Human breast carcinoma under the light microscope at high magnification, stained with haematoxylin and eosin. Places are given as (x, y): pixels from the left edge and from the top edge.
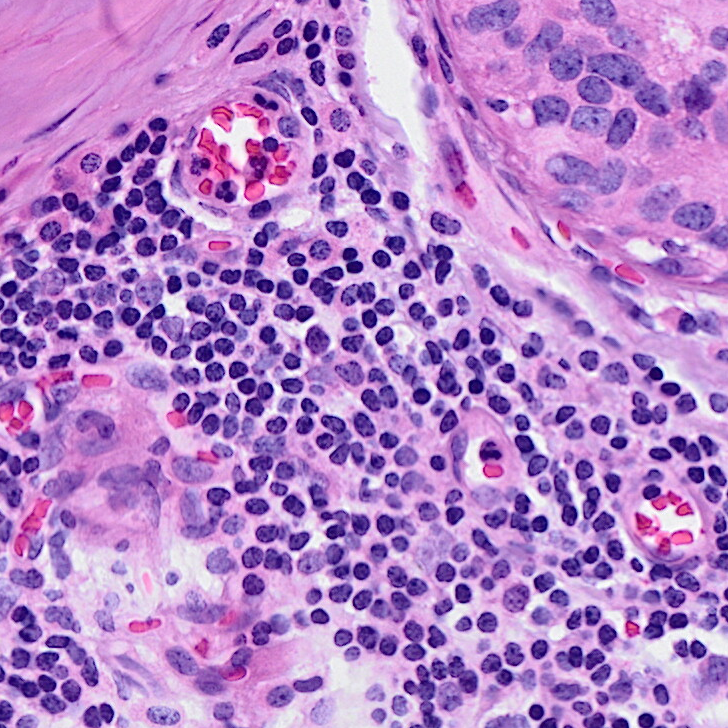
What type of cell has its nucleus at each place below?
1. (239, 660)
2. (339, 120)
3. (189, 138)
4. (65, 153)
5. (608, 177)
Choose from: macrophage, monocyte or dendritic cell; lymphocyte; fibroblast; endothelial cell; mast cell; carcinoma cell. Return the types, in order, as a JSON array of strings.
["endothelial cell", "mast cell", "endothelial cell", "fibroblast", "carcinoma cell"]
